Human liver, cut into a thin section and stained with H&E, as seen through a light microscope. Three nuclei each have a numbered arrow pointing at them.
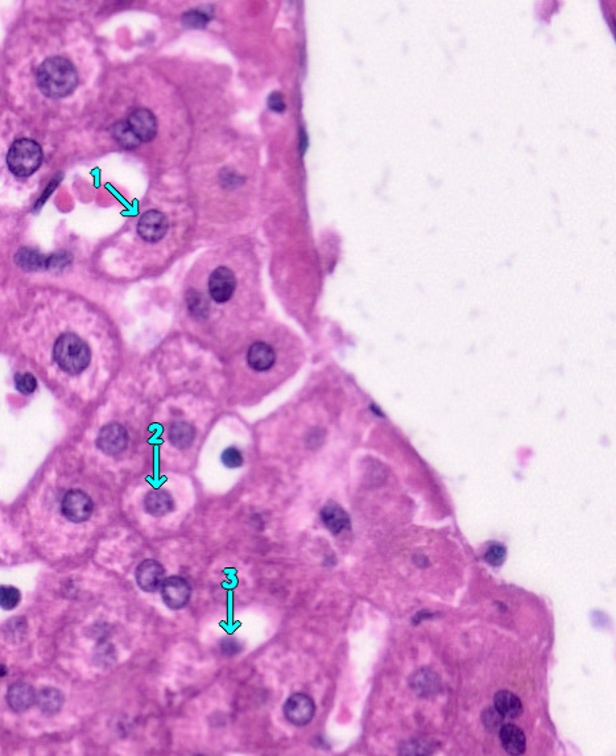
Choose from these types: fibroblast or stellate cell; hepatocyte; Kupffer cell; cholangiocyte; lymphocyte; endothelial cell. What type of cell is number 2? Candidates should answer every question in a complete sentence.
The correct label for cell 2 is a hepatocyte.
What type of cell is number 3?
Number 3 among the marked cells is a Kupffer cell.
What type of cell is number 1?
The nucleus with number 1 is that of a hepatocyte.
